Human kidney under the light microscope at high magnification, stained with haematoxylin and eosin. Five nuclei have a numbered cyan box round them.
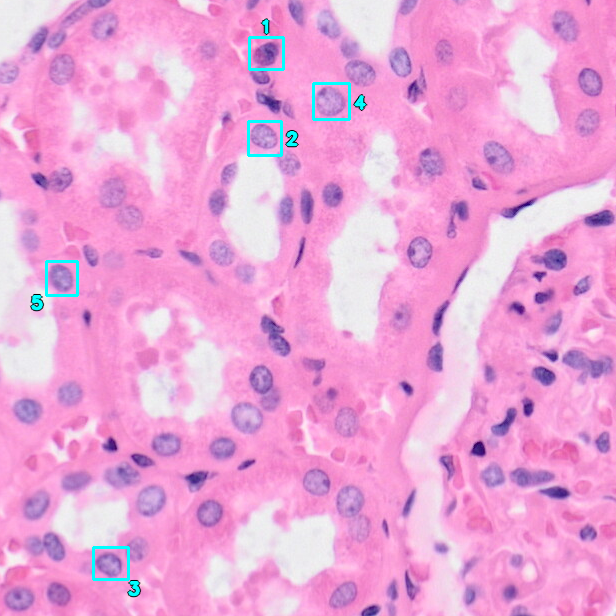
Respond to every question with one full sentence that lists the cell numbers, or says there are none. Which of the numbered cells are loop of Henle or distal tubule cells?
Within the section, cells numbered 2, 3 and 5 are loop of Henle or distal tubule cells.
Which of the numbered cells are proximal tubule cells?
Being a proximal tubule cell is true of cell 4 and of no other numbered cell.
